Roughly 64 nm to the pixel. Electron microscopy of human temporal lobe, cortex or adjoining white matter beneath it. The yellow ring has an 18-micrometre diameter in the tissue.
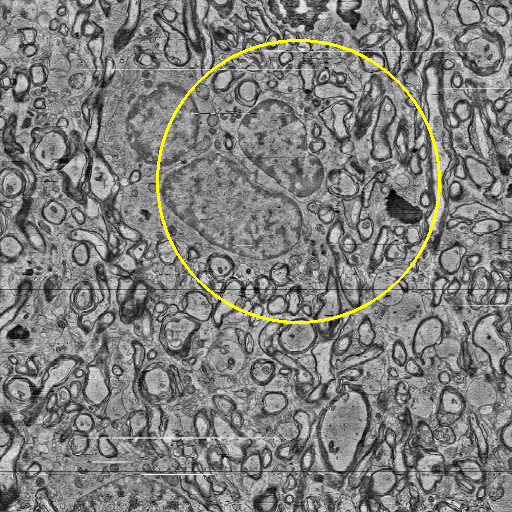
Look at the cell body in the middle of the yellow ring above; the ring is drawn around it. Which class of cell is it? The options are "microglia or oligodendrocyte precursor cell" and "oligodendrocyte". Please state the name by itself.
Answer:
microglia or oligodendrocyte precursor cell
